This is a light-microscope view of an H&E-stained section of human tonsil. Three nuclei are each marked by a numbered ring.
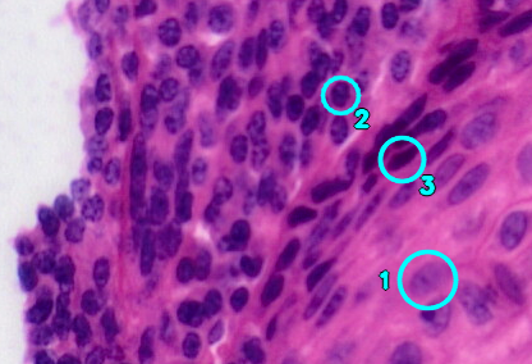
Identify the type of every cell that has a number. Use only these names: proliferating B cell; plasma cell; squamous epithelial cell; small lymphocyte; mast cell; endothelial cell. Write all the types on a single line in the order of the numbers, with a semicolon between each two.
squamous epithelial cell; plasma cell; squamous epithelial cell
